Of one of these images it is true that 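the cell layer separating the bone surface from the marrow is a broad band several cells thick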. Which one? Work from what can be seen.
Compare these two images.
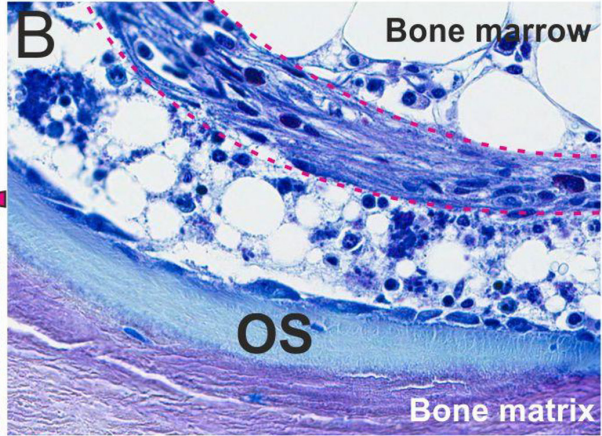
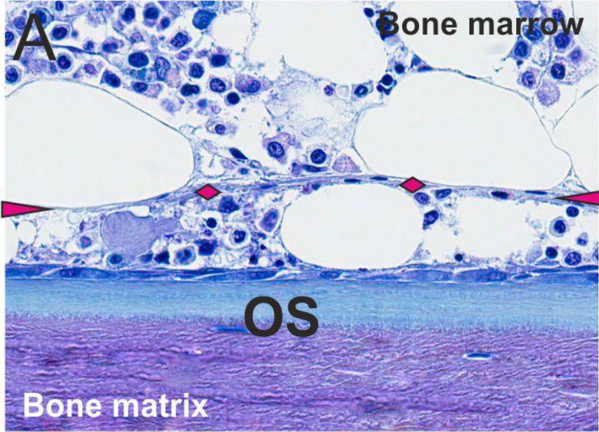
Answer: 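First image: a broad band of many layers of elongated cells runs parallel to the bone surface. Second image: only a single thin line of flattened cells separates the bone-side space from the marrow. That points to this answer: the first image.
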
